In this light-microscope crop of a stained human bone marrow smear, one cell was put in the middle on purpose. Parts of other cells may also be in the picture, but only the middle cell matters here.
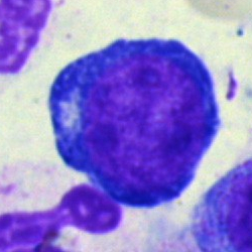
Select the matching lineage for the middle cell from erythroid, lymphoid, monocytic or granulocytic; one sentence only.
The lineage represented by the cell in the middle is erythroid.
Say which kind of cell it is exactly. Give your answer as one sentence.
The identification for the central cell is a proerythroblast.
